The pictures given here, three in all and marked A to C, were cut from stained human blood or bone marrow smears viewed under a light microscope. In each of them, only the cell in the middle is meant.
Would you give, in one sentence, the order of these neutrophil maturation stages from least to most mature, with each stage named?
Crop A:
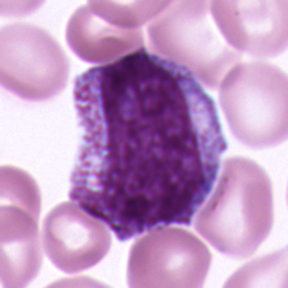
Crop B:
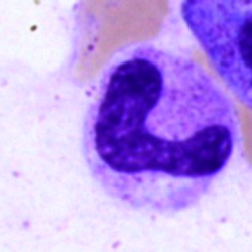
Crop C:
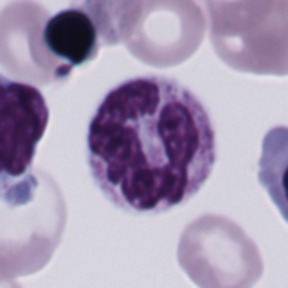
The least to most mature ordering of the crops is crop A (a myelocyte), crop B (a band neutrophil) and crop C (a segmented neutrophil).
